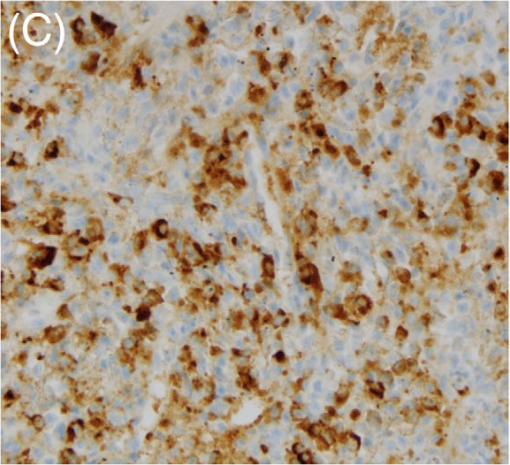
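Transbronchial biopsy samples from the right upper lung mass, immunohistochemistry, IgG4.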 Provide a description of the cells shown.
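Many scattered cells in this infiltrate carry an intense brown stain in their cytoplasm, set among unstained cells with pale blue nuclei. The stained cells are round to oval with ample cytoplasm, and in several the nucleus is pushed to one side. They are densely distributed throughout the field, singly and in small clusters. The unstained background cells have oval pale nuclei and indistinct borders. These brown-stained cells are plasma cells within the inflammatory infiltrate.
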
